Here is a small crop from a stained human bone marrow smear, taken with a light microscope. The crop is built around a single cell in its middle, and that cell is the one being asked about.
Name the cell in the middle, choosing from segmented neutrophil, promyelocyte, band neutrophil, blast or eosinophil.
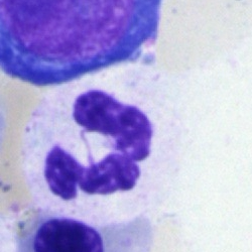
segmented neutrophil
